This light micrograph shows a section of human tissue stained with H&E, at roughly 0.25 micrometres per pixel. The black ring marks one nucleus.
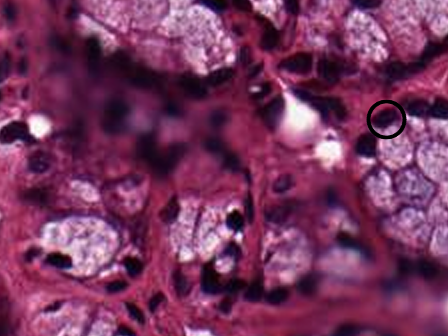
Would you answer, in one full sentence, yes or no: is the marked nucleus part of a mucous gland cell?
Yes, the nucleus singled out in the image belongs to a mucous gland cell.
